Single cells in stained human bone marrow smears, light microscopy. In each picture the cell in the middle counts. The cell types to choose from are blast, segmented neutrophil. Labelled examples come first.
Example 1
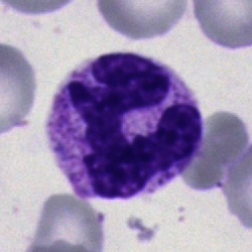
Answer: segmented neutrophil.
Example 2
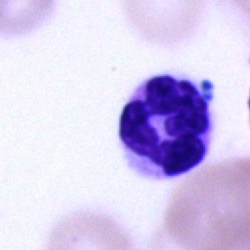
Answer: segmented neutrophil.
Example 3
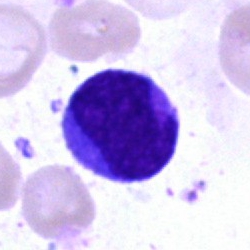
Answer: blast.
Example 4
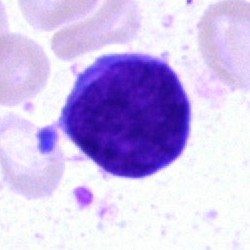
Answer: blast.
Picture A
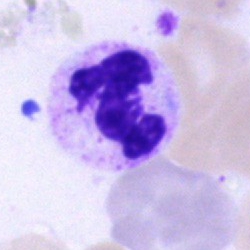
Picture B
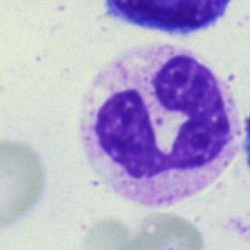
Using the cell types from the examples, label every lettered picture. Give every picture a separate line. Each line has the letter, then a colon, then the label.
A: segmented neutrophil.
B: segmented neutrophil.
